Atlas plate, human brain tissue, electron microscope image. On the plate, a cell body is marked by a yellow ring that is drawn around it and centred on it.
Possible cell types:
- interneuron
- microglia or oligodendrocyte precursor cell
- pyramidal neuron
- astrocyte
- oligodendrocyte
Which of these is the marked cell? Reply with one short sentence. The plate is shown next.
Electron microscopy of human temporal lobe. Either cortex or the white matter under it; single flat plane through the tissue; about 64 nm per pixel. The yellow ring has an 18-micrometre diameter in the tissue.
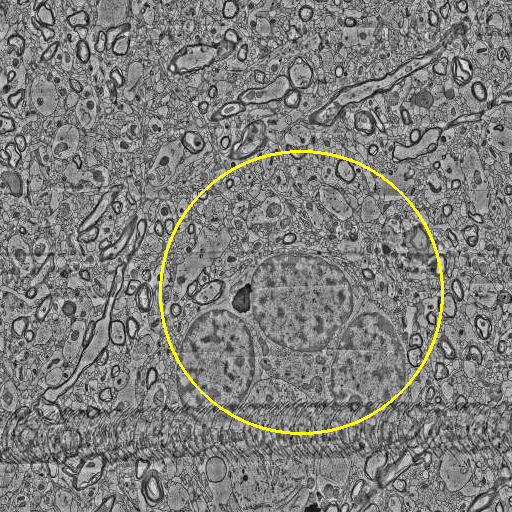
The marked cell is an oligodendrocyte.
